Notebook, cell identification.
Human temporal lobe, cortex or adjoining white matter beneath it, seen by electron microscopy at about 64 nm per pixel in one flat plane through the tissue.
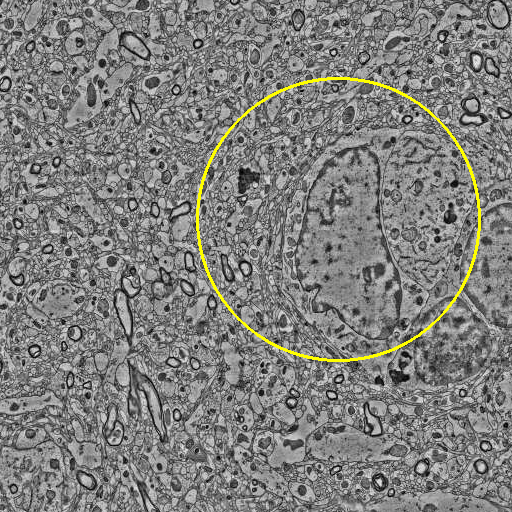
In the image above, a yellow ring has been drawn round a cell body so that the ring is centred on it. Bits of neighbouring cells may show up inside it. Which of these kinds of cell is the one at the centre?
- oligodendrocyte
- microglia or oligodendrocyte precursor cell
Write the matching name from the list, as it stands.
microglia or oligodendrocyte precursor cell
